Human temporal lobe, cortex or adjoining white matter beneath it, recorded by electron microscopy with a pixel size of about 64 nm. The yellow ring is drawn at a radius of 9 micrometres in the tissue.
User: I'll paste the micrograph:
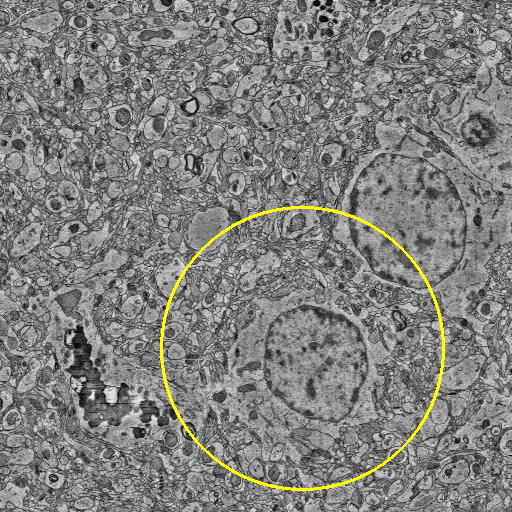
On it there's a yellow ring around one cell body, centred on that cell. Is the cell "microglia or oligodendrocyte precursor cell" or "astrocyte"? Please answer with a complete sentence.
The cell ringed in yellow is an astrocyte.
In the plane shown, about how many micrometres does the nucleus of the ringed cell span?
In this plane, the nucleus of the cell at the centre of the ring measures about 8 by 7 micrometres.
